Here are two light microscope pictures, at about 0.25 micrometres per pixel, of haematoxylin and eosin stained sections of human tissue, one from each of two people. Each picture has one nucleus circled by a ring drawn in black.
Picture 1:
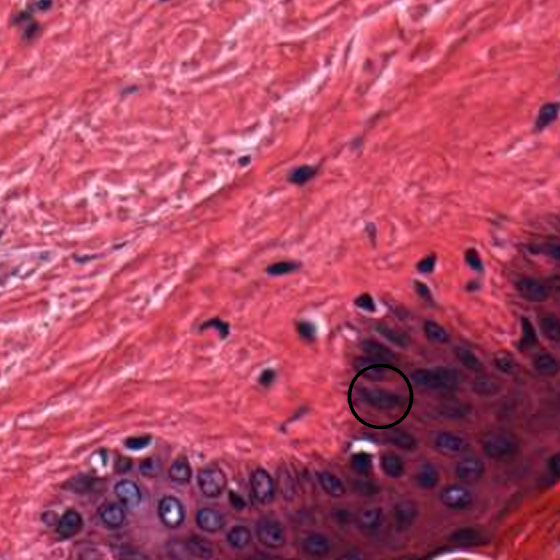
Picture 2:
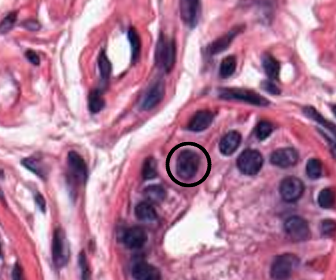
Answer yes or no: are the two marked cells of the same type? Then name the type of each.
No, the first is a keratinocyte and the second a sweat gland cell.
